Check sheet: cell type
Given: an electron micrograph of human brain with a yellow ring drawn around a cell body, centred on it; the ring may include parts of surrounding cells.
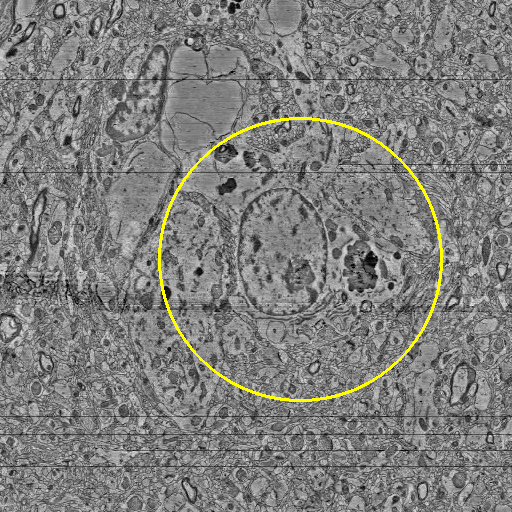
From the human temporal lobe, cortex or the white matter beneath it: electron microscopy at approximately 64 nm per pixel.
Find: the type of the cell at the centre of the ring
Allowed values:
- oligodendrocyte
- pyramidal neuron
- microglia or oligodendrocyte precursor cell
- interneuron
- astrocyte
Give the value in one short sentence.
Here the ringed cell is an astrocyte.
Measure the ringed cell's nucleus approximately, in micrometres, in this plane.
In this plane, about 8 micrometres in length and 6 in width.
